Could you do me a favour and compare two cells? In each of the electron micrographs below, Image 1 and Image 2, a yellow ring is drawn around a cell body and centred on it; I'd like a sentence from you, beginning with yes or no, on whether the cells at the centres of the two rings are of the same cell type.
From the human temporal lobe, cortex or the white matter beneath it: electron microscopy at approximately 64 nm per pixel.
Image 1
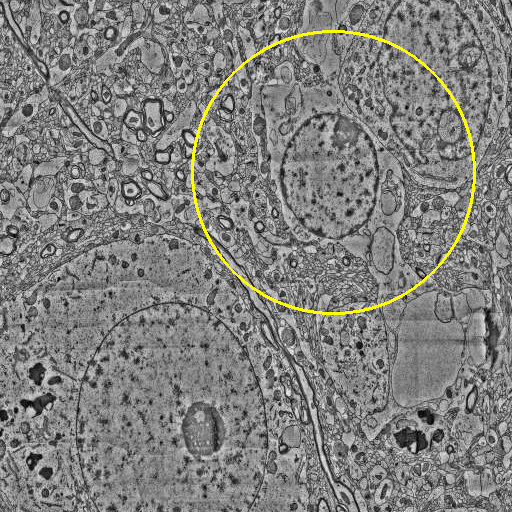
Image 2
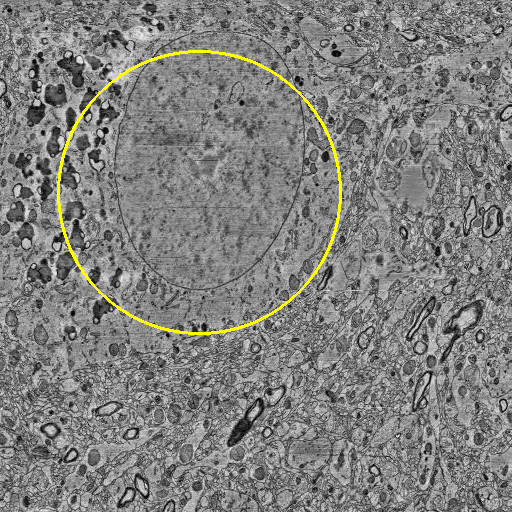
No, the two cells are of two cell types.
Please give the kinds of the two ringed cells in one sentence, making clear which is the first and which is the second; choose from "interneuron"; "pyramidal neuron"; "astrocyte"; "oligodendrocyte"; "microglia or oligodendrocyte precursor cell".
In the second picture the ringed cell is a pyramidal neuron; in the first it is an astrocyte.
